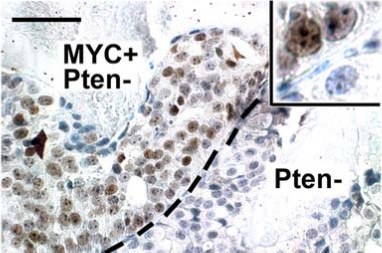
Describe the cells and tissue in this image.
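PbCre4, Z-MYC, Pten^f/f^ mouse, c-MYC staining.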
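Prostate gland epithelium in which one part of the gland carries brown nuclear staining and the neighbouring part does not, the two separated by a dashed line. The brown-stained cells on the left are crowded, with large round to oval nuclei. Cells on the right have small blue nuclei and pale, clear cytoplasm. The inset enlarges stained epithelial cells with large brown nuclei beside a small unstained cell. Pale, largely unstained material occupies the upper left.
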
